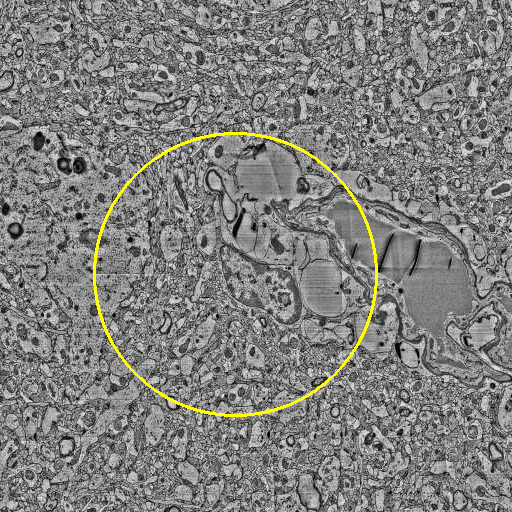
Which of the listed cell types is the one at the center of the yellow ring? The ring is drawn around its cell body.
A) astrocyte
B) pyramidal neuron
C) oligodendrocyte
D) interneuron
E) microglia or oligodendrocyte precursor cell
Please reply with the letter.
E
